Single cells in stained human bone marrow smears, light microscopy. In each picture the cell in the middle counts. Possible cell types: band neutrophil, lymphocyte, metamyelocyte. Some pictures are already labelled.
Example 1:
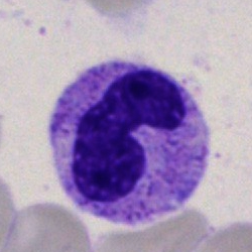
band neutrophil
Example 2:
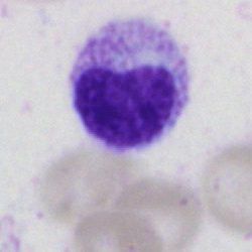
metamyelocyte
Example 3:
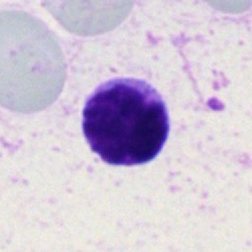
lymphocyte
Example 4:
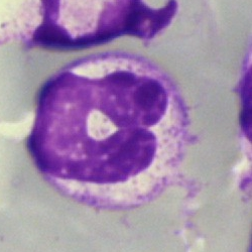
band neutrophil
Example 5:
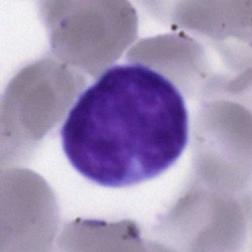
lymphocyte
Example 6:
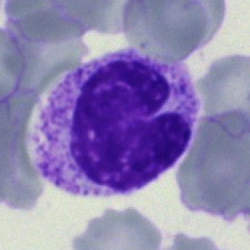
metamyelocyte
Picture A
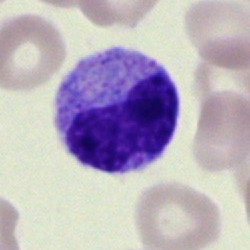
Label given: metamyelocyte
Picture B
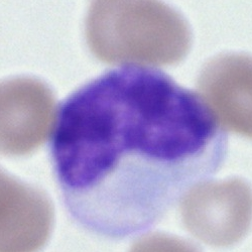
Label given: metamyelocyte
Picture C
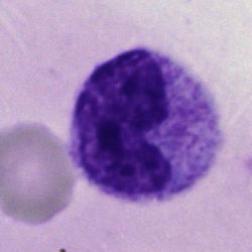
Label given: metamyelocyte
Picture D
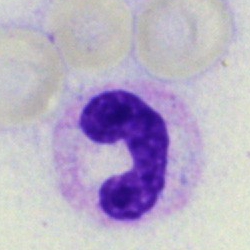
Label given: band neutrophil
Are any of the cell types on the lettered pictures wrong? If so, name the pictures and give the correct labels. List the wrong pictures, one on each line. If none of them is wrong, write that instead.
None of the labels needs changing.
